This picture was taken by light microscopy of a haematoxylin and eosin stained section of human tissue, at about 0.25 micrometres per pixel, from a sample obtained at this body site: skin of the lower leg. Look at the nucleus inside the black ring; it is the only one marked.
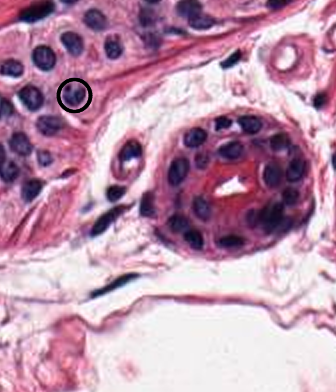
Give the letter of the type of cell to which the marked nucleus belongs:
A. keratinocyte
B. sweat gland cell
B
